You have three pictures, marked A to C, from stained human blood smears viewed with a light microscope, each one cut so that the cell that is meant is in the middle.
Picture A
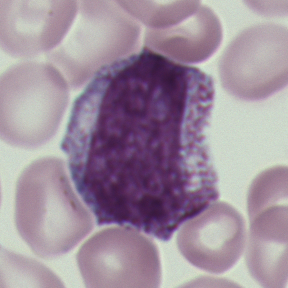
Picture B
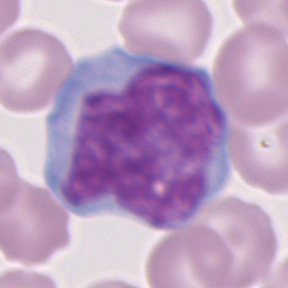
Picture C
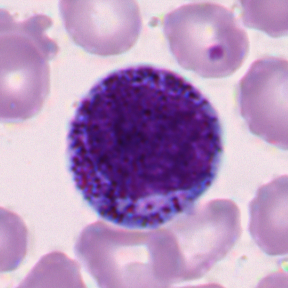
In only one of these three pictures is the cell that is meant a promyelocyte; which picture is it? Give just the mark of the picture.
C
